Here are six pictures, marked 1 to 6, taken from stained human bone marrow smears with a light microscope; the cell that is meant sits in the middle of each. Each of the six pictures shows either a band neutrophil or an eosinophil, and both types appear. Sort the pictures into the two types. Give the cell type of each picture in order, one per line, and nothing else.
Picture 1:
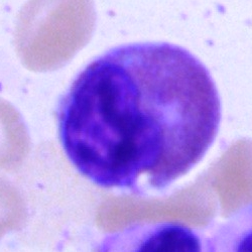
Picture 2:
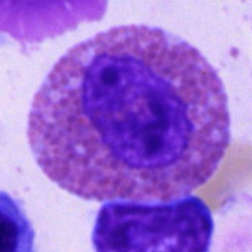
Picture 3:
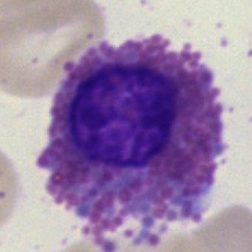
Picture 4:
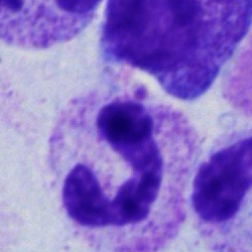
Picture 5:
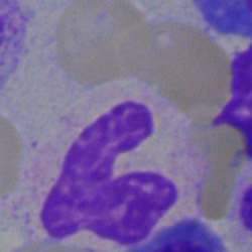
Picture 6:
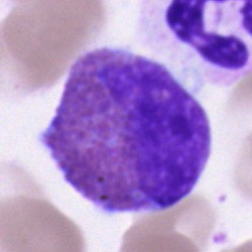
eosinophil
eosinophil
eosinophil
band neutrophil
band neutrophil
eosinophil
